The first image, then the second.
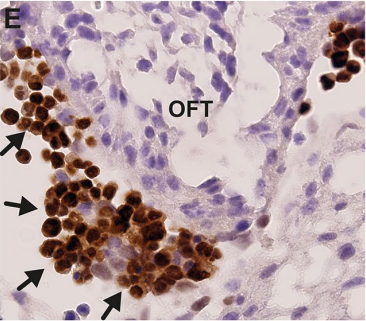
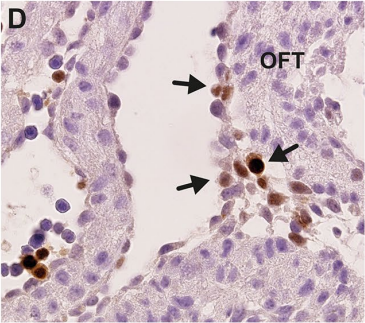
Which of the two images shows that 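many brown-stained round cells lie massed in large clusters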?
The first image.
